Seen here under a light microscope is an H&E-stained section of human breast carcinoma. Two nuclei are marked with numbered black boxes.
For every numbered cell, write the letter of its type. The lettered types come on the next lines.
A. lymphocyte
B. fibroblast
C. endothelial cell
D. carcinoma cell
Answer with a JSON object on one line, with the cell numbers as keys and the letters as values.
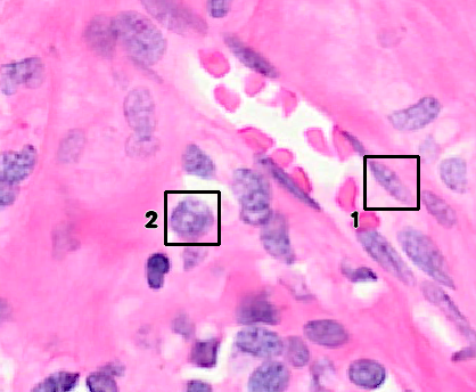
{"1": "C", "2": "D"}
